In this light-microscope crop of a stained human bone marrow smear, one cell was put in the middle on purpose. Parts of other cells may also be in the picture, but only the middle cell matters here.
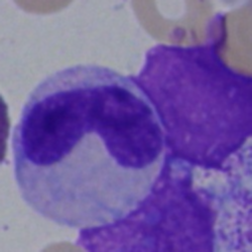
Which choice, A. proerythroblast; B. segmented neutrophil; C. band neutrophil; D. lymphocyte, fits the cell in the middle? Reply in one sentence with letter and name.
That cell in the center is a band neutrophil, hence option C.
